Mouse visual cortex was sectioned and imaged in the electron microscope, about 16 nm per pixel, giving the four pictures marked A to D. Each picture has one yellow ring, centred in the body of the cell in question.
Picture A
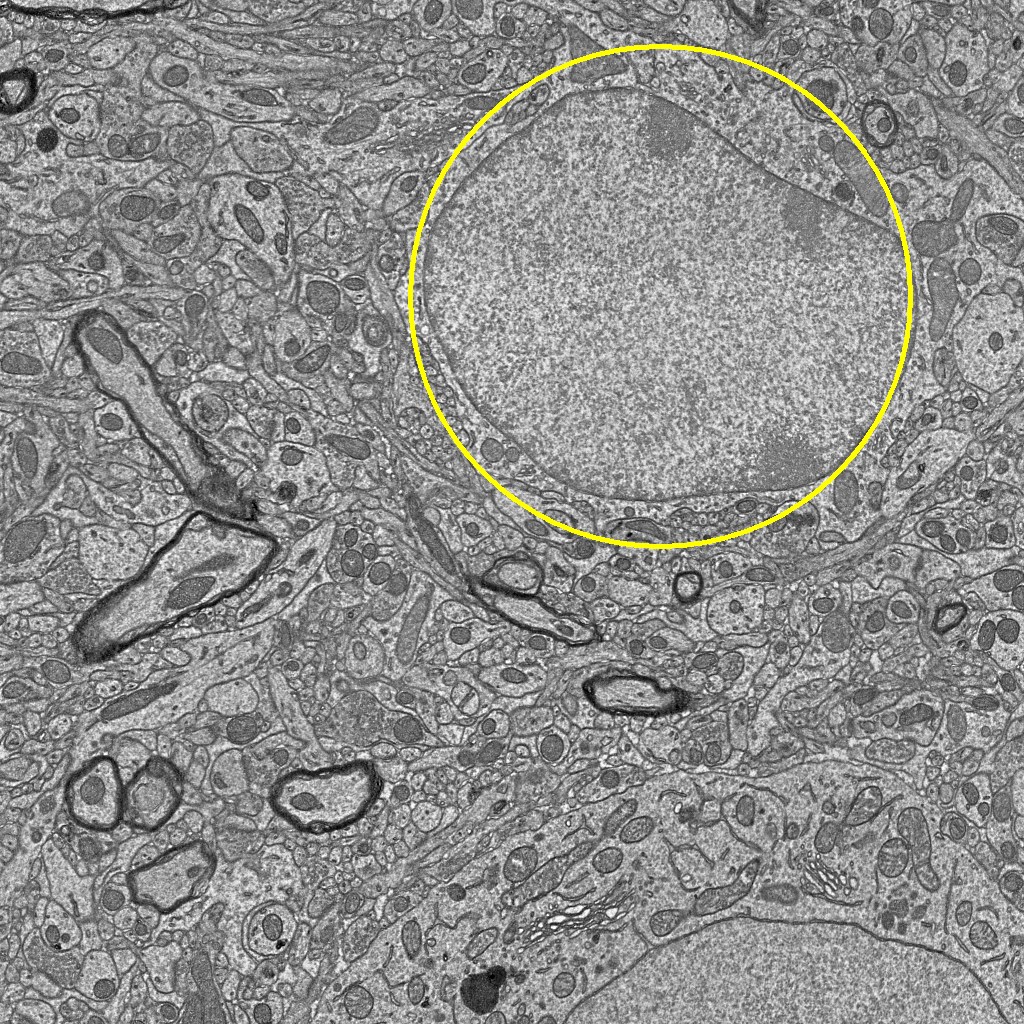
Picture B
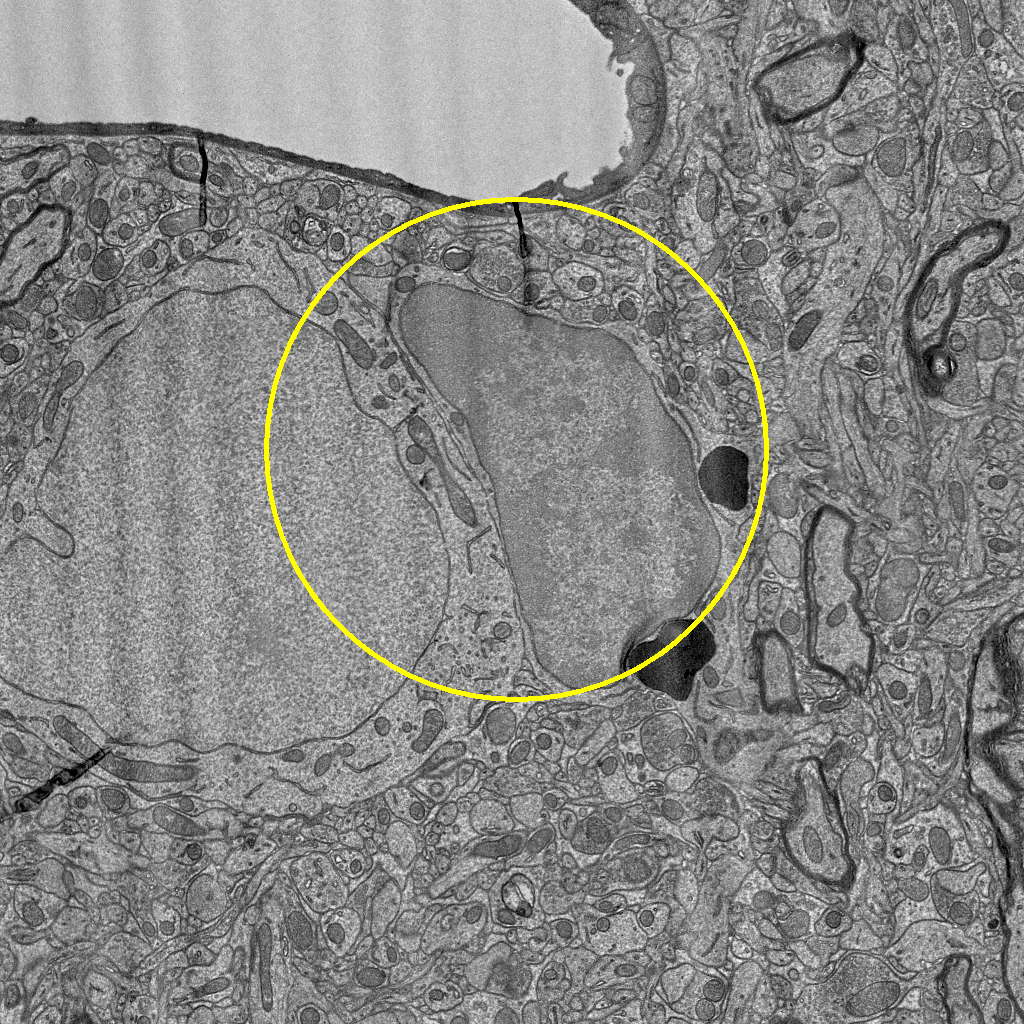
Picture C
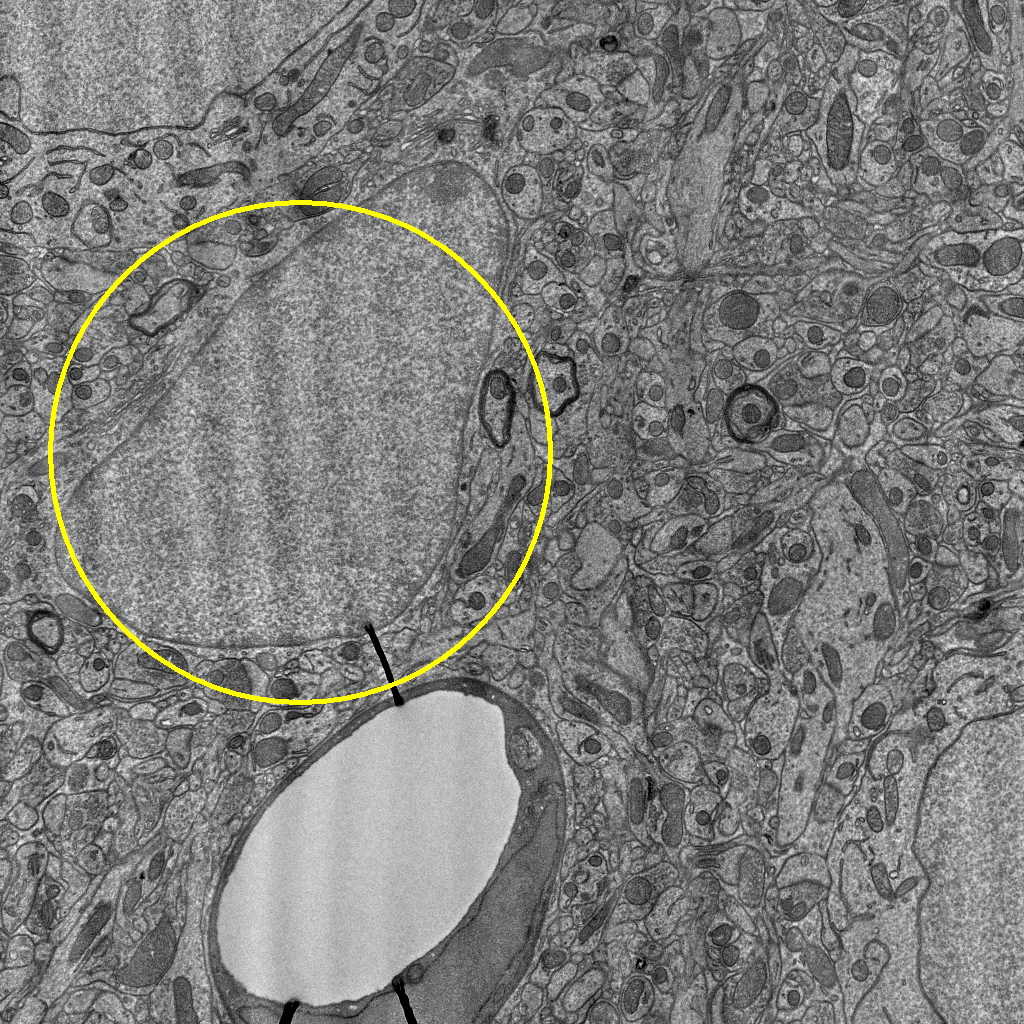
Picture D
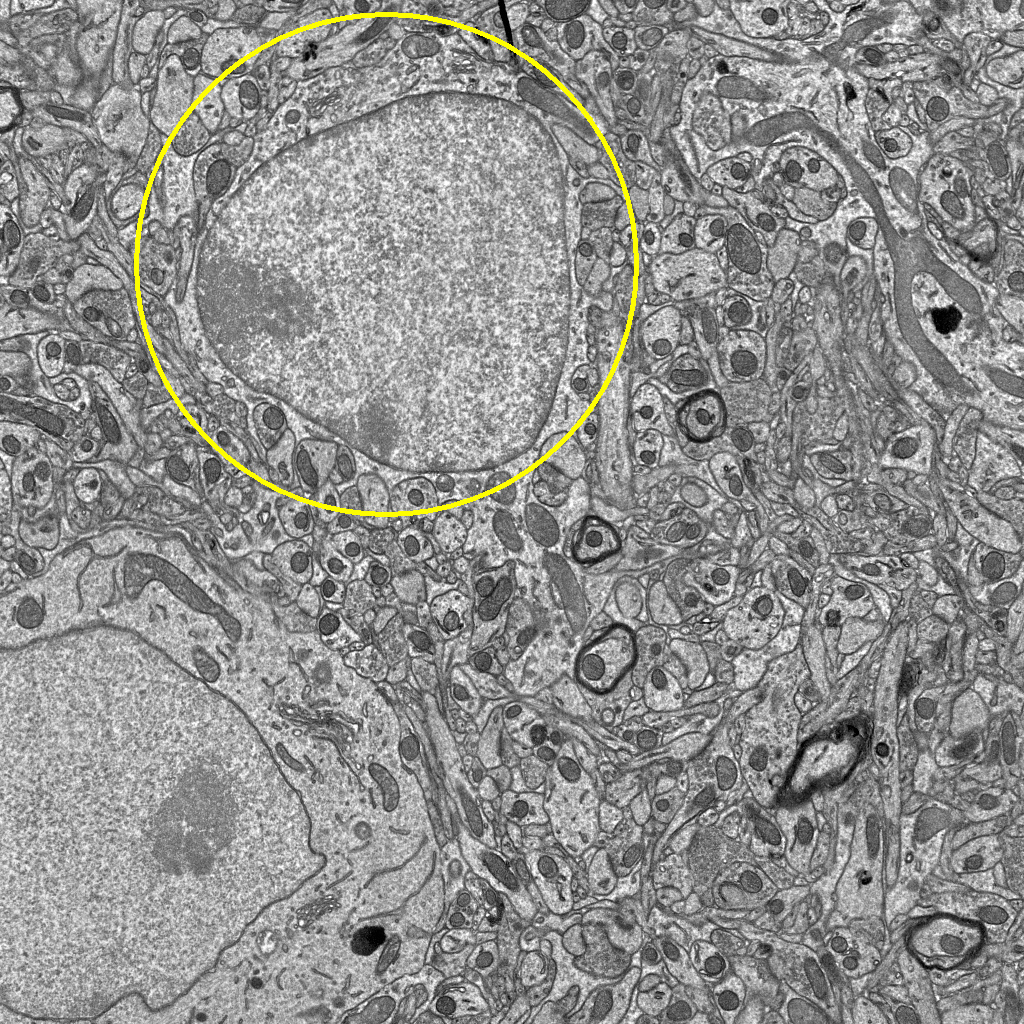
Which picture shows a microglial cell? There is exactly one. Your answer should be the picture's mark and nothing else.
B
